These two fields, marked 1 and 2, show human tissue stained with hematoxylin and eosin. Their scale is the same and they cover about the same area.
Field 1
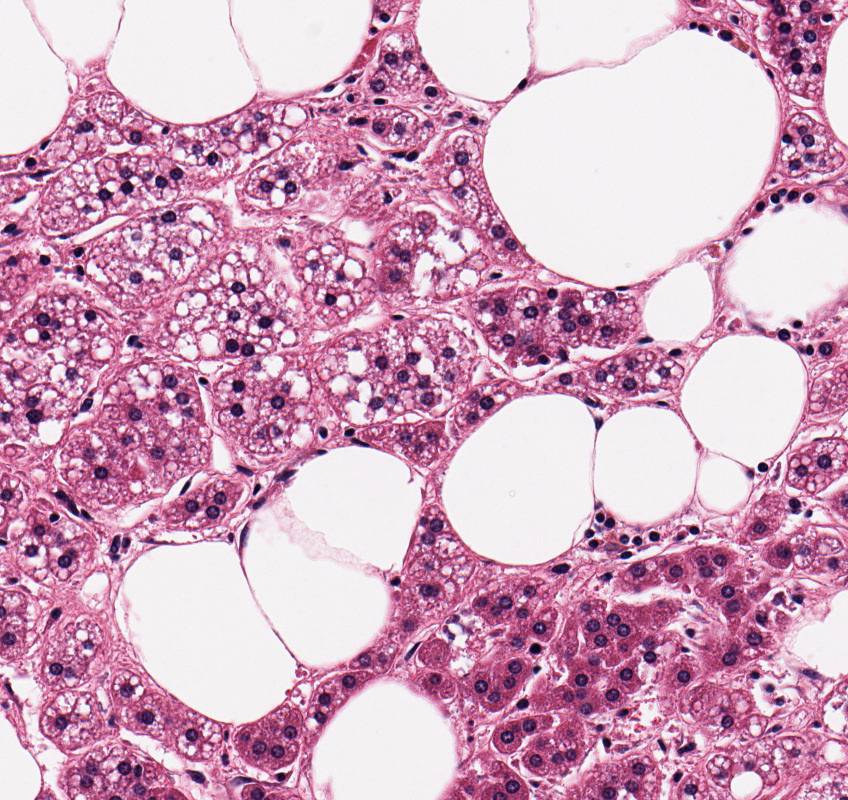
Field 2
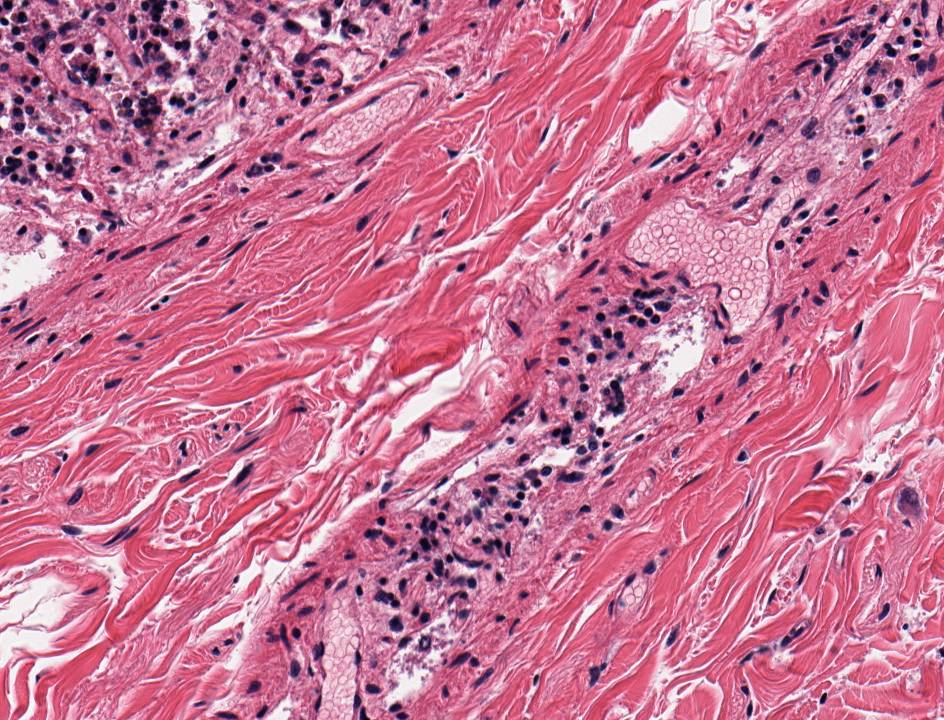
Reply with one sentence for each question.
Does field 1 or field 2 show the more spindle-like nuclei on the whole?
It is field 2 whose nuclei are the more elongated.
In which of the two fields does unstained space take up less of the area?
Less of field 2 is empty and white.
